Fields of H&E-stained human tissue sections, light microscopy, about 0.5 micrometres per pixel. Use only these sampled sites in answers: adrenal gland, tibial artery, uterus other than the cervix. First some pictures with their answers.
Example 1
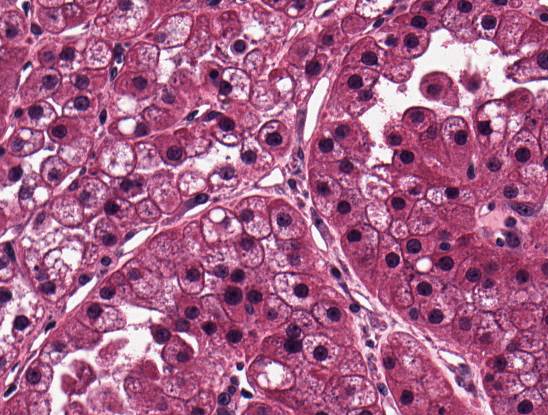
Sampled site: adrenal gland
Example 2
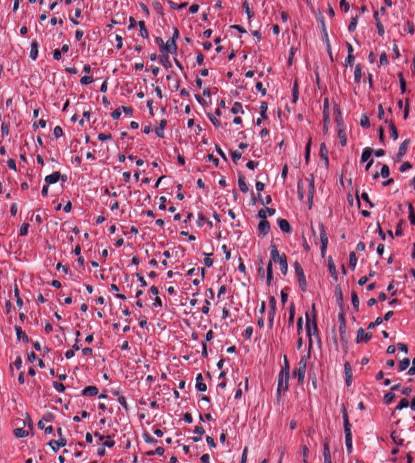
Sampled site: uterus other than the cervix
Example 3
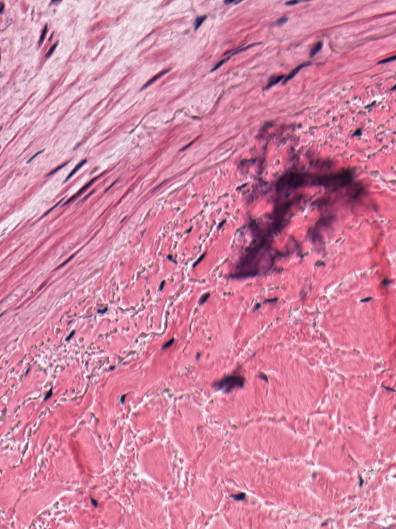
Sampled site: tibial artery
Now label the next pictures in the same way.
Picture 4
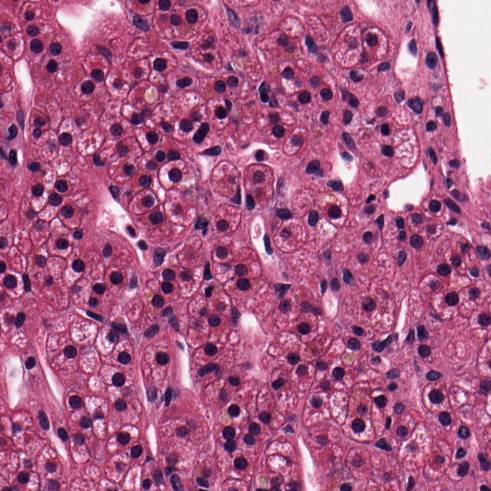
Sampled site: adrenal gland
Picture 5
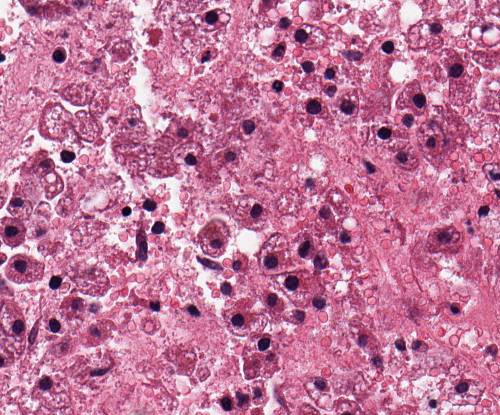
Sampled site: adrenal gland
